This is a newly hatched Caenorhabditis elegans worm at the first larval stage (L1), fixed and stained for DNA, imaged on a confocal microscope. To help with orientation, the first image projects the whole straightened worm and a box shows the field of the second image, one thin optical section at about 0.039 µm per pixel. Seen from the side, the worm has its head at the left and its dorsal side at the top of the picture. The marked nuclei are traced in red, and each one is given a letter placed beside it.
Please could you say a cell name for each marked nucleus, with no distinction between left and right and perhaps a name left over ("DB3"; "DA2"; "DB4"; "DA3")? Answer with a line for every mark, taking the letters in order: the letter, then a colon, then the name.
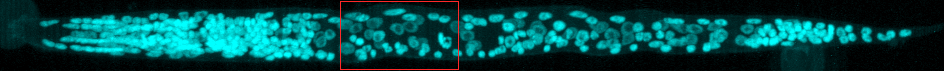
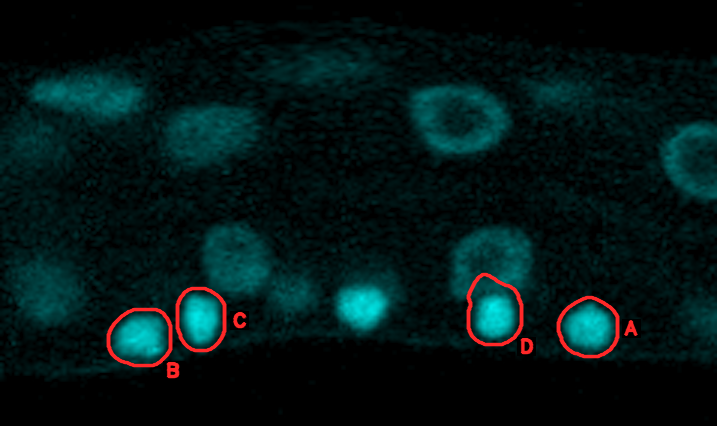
A: DB4
B: DB3
C: DA2
D: DA3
